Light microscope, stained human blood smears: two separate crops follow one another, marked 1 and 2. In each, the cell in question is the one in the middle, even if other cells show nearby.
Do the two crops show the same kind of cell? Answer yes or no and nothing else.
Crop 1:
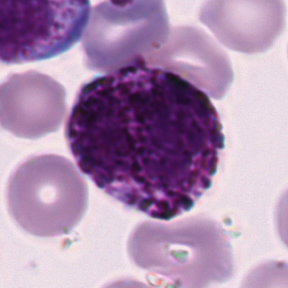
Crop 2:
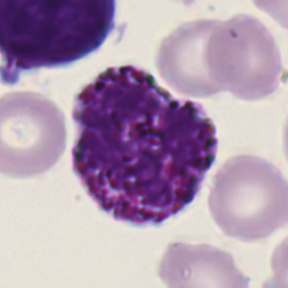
yes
